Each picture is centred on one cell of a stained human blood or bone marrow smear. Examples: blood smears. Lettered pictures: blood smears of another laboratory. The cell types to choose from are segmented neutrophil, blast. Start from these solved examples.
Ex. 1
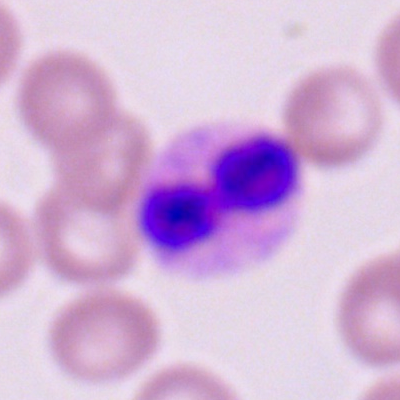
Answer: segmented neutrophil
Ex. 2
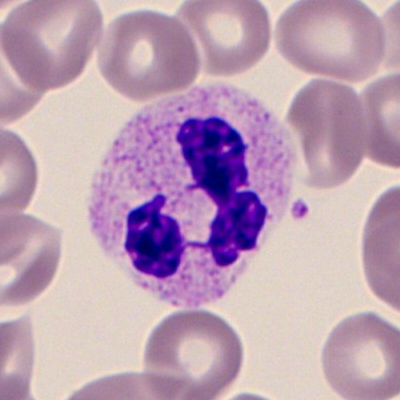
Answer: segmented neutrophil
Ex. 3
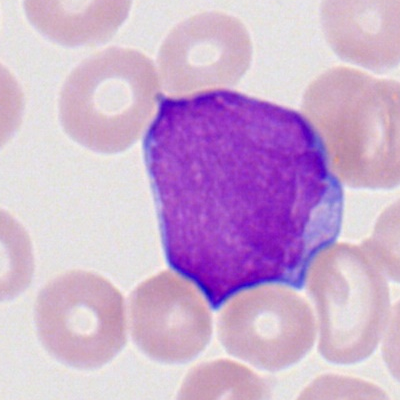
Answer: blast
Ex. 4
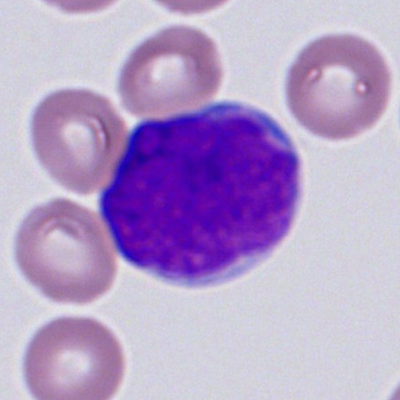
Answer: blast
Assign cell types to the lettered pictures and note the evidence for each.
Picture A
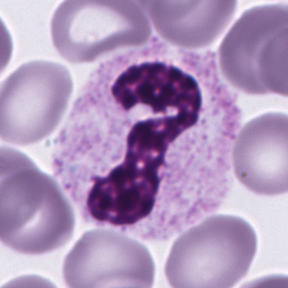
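Label: segmented neutrophil. The cytoplasm is abundant and pale pink.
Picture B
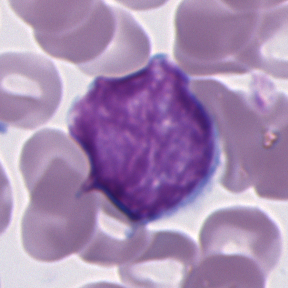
Label: blast. The thin rim of cytoplasm is deep blue.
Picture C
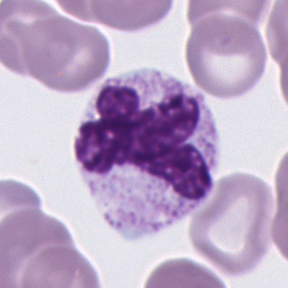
Label: segmented neutrophil. The cytoplasm is very pale, almost colourless with a faint pinkish-lilac tint.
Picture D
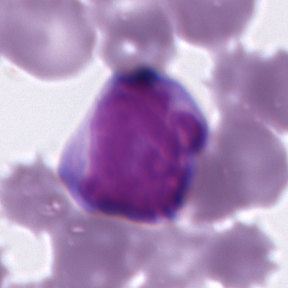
Label: blast. The nucleus fills most of the cell.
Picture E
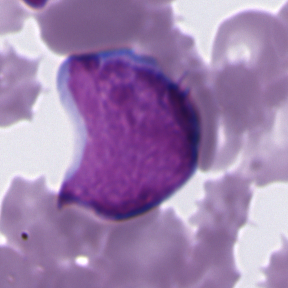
Label: blast. The cytoplasm is a scant pale blue rim, widest along the left concave edge.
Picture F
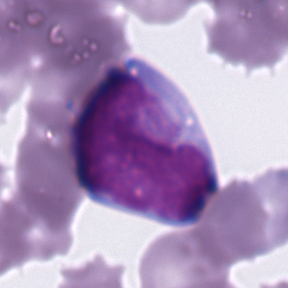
Label: blast. The nucleus fills most of the cell.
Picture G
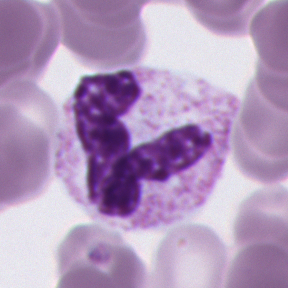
Label: segmented neutrophil. The cytoplasm is plentiful and pale pinkish-lilac.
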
